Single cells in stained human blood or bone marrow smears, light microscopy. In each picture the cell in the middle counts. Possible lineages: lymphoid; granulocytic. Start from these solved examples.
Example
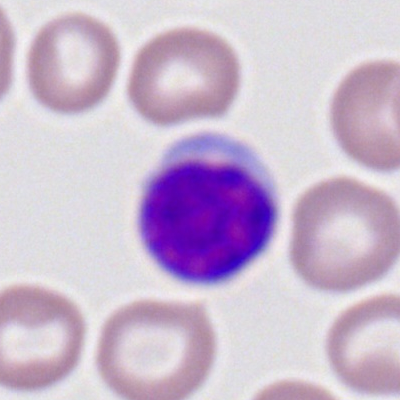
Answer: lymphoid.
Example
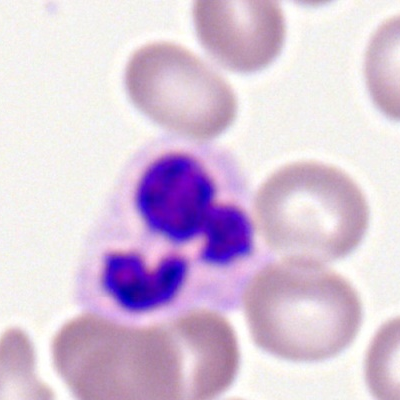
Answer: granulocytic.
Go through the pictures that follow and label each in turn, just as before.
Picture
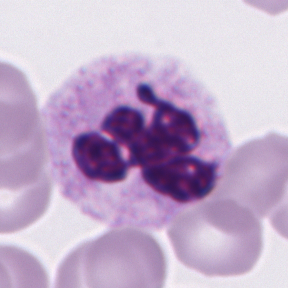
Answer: granulocytic.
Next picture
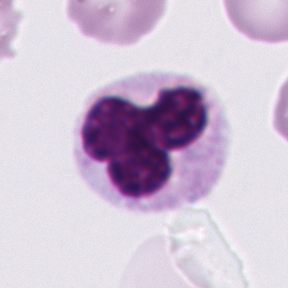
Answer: granulocytic.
